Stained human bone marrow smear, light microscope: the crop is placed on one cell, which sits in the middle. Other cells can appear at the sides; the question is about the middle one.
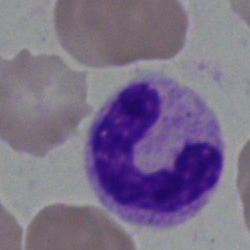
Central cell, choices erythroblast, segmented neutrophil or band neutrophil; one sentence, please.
The cell in the exact centre of the crop is a band neutrophil.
